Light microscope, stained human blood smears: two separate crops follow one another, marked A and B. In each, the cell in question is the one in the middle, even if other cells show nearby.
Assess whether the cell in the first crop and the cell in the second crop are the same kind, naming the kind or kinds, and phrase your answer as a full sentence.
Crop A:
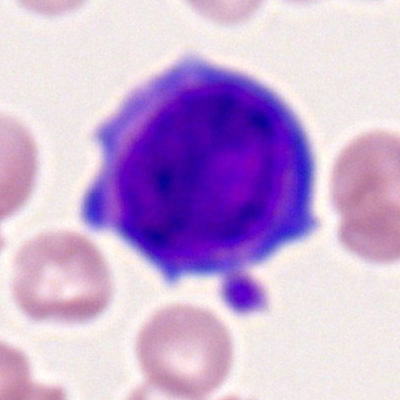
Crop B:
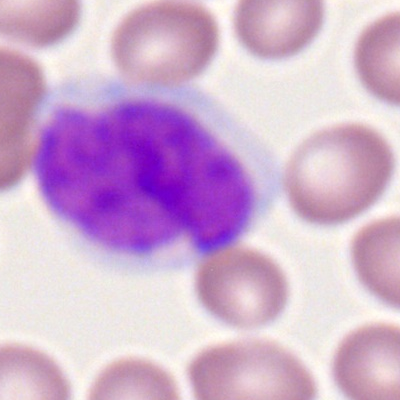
No, crop A features a blast, and crop B features a monocyte.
